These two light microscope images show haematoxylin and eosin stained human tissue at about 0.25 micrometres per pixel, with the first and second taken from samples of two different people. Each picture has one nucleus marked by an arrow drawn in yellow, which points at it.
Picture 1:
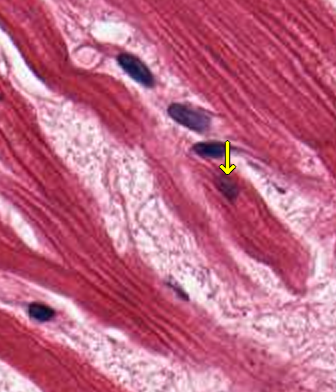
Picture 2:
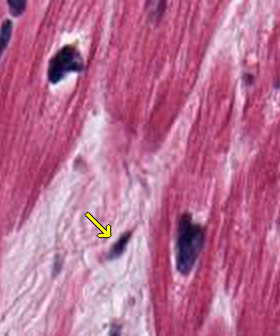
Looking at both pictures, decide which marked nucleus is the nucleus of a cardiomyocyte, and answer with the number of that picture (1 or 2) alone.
1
